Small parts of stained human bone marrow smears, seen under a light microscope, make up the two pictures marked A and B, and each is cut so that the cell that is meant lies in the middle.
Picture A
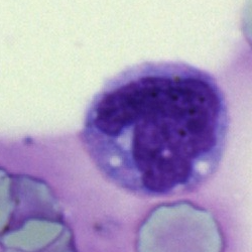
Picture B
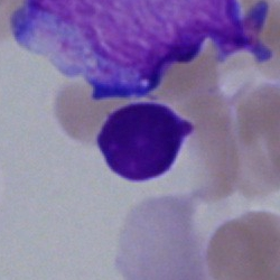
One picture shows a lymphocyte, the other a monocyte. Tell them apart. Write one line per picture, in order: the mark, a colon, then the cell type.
A: monocyte
B: lymphocyte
